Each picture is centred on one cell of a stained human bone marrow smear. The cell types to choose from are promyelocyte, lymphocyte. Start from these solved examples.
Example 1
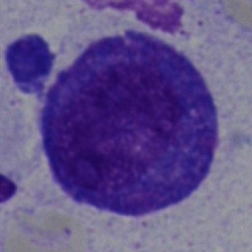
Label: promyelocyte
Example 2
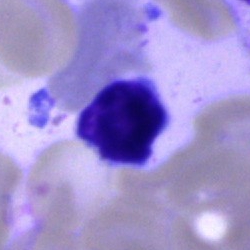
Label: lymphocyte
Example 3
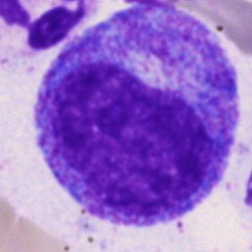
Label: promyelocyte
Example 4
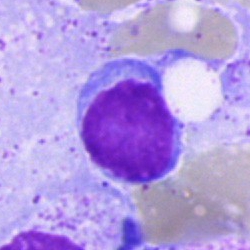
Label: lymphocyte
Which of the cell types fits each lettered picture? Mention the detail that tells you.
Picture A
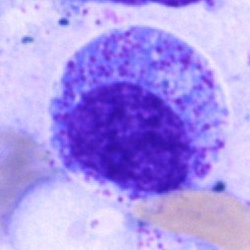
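Label: promyelocyte. Many purple-red granules are scattered through the cytoplasm.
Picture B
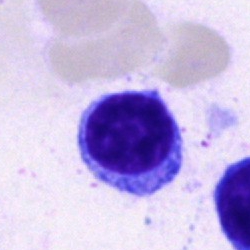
Label: lymphocyte. The chromatin is dark purple and coarsely clumped.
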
